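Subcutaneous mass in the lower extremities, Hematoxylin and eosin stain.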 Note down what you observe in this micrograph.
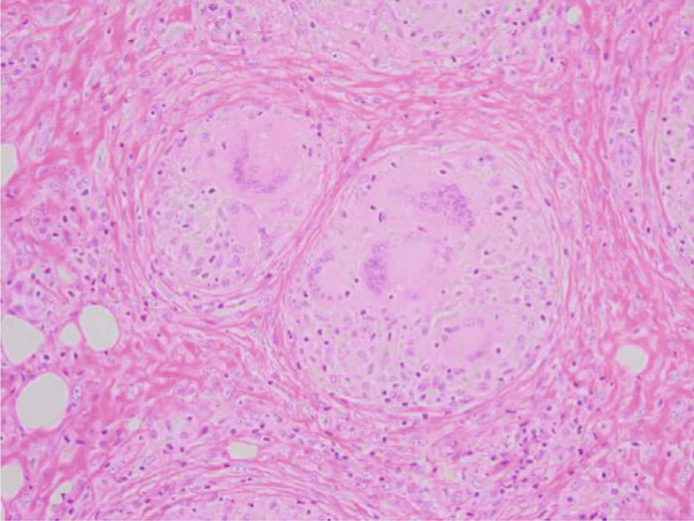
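Granulomatous tissue of epithelioid cell granulomas with Langhans giant cells. Two adjacent round nodules are each bounded by concentric layers of pink fibrous tissue with spindle-shaped nuclei. Inside, epithelioid cells with pale pink cytoplasm and oval, vesicular nuclei fill the nodules. Large multinucleated giant cells with abundant pink cytoplasm lie within them, their nuclei arranged in an arc or horseshoe at the cell periphery. The nodule centres lack necrotic debris. Between nodules lies fibrous stroma with scattered small inflammatory cells, and a few empty round fat vacuoles appear at the edges.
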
